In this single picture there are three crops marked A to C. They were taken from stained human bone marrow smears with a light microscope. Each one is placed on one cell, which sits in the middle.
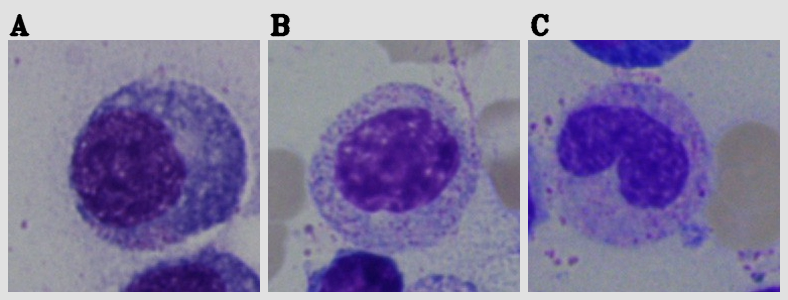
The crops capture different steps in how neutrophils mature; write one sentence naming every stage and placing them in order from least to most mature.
The correct order from least to most mature is crop A (a promyelocyte), crop B (a myelocyte) and crop C (a band neutrophil).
